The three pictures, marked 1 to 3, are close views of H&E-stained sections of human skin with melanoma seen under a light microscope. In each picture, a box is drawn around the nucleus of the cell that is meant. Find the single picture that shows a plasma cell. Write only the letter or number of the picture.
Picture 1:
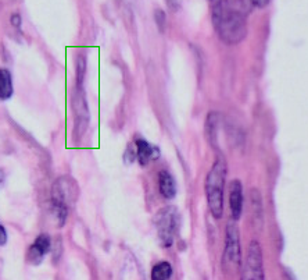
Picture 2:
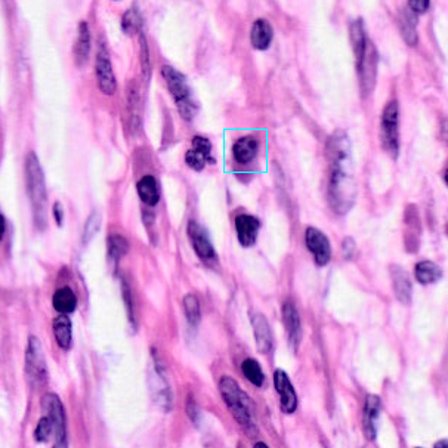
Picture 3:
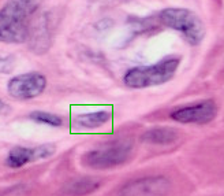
2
